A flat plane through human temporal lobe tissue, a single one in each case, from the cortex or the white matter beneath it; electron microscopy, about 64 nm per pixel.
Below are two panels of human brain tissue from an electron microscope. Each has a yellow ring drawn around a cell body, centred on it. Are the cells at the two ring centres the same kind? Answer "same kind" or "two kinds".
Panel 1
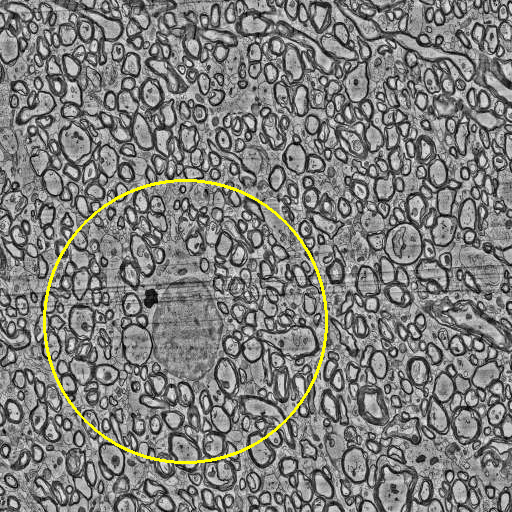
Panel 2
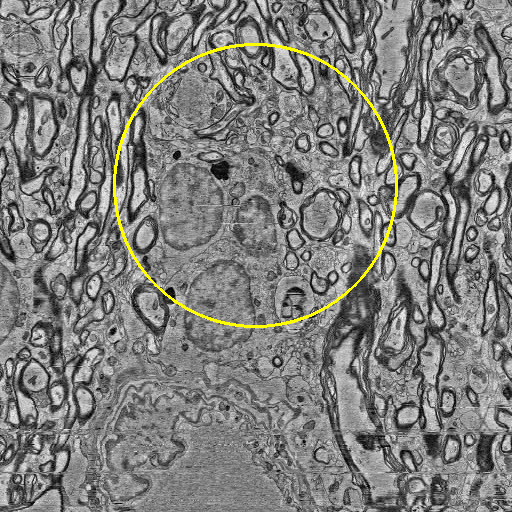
same kind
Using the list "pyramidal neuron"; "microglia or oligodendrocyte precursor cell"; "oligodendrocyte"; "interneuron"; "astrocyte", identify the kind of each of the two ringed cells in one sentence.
Each cell at the centre of a ring is an oligodendrocyte.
